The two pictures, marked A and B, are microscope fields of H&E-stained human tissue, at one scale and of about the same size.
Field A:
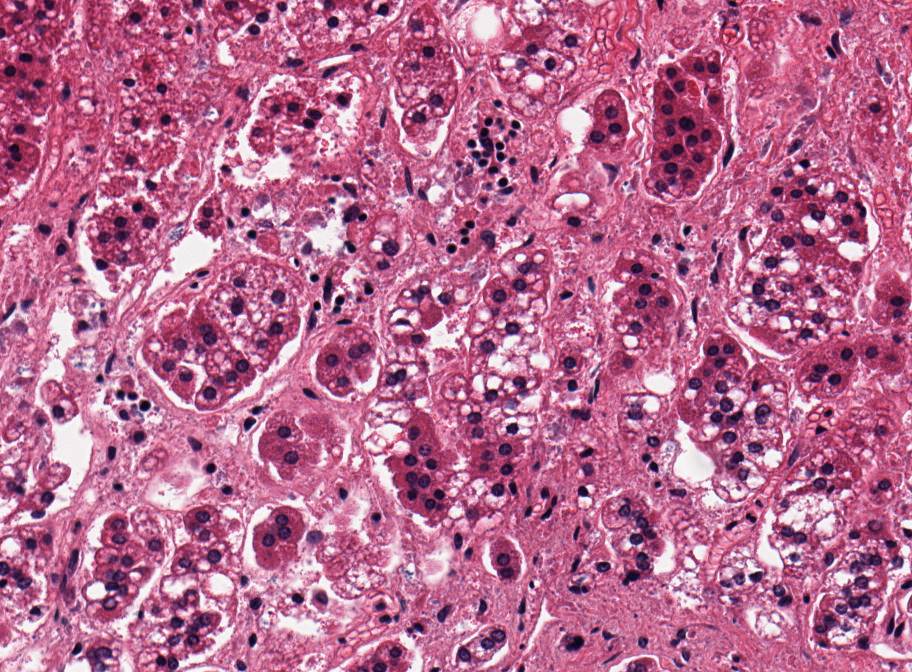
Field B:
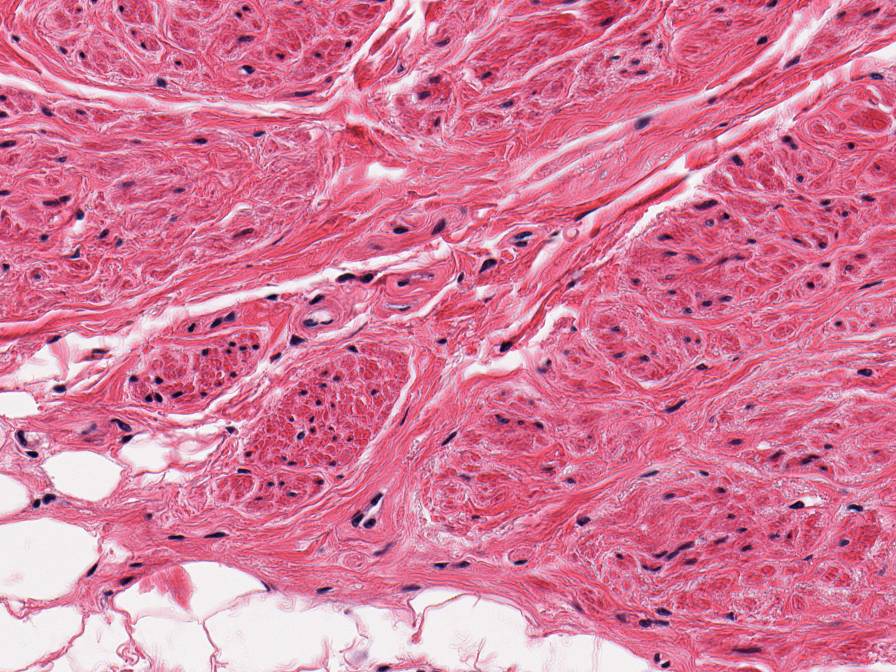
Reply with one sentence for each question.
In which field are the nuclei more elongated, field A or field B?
The nuclei are more elongated in field B.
